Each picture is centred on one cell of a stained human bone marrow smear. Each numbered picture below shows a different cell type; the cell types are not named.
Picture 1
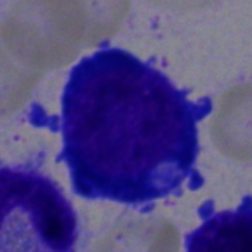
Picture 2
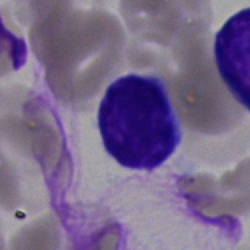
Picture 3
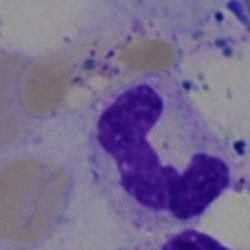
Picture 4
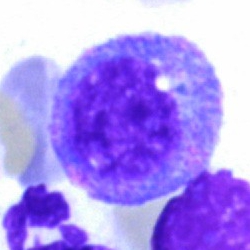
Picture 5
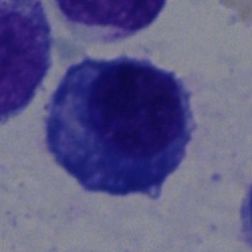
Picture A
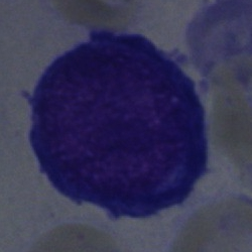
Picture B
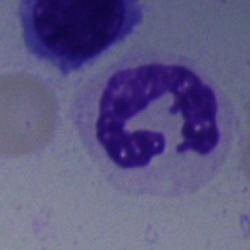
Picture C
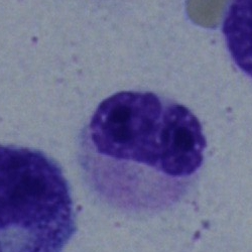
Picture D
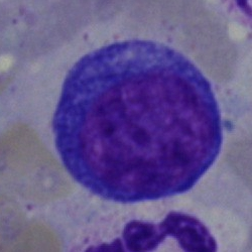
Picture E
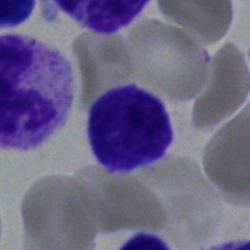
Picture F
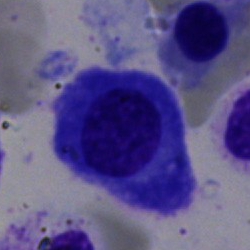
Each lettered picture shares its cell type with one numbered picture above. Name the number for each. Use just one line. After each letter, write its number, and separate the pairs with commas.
A 1, B 3, C 3, D 1, E 2, F 5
